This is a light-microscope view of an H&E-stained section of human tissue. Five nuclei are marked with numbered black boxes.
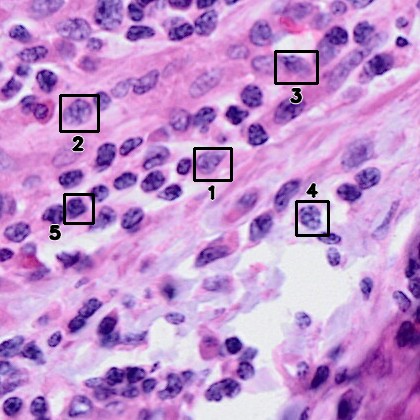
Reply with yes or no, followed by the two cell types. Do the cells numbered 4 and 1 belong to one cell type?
No, unlike cell 4, which is a lymphocyte, cell 1 is a macrophage or monocyte.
